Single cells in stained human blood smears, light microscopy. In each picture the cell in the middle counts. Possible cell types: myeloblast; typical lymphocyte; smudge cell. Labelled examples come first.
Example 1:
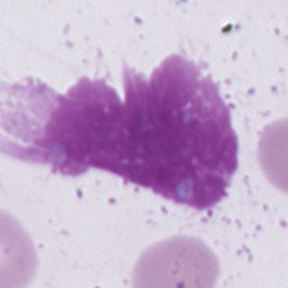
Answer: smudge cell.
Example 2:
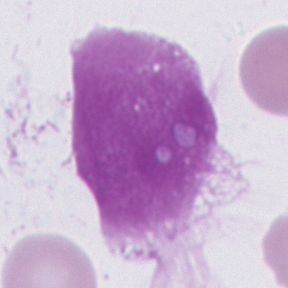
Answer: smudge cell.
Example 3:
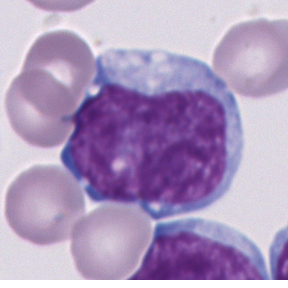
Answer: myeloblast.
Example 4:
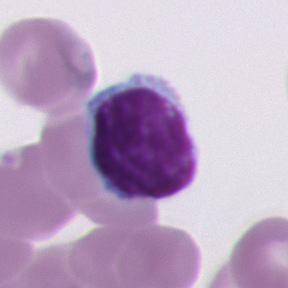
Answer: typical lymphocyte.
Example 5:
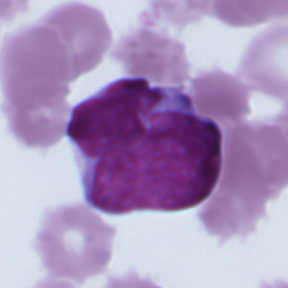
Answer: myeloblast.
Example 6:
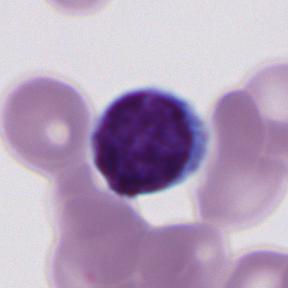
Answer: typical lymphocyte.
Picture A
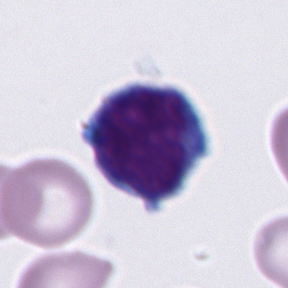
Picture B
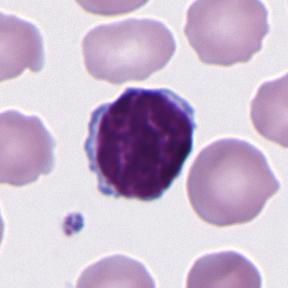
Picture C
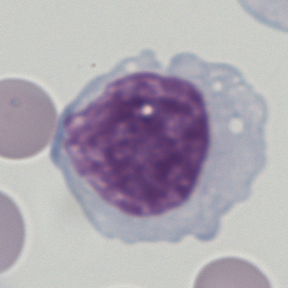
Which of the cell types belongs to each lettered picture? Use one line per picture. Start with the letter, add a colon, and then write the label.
A: typical lymphocyte.
B: typical lymphocyte.
C: myeloblast.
